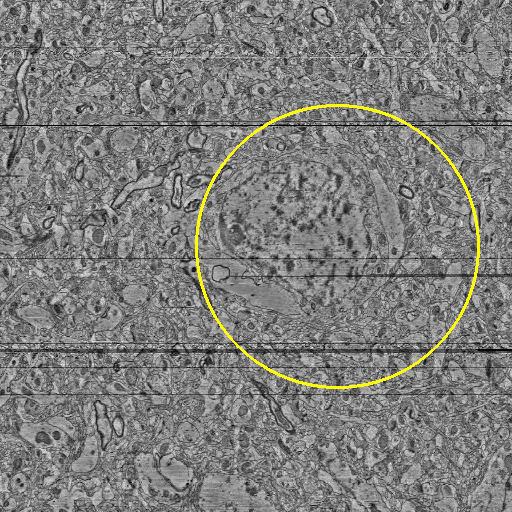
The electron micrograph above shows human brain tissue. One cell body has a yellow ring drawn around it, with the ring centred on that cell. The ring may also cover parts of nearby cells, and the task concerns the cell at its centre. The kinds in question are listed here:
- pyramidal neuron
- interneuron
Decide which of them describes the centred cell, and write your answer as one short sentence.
The centred cell is an interneuron.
